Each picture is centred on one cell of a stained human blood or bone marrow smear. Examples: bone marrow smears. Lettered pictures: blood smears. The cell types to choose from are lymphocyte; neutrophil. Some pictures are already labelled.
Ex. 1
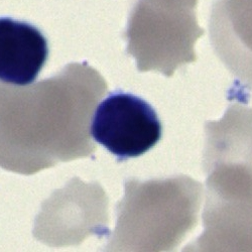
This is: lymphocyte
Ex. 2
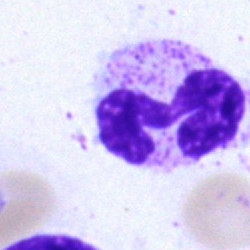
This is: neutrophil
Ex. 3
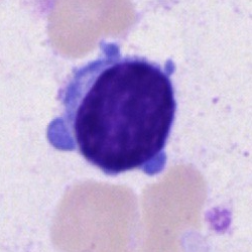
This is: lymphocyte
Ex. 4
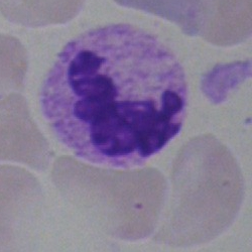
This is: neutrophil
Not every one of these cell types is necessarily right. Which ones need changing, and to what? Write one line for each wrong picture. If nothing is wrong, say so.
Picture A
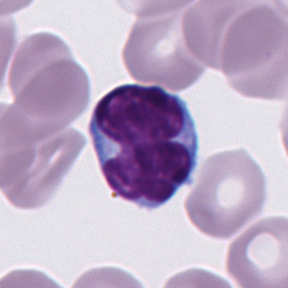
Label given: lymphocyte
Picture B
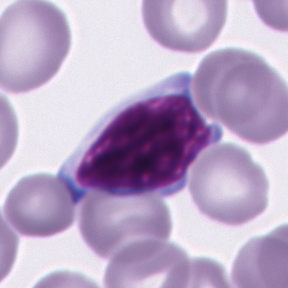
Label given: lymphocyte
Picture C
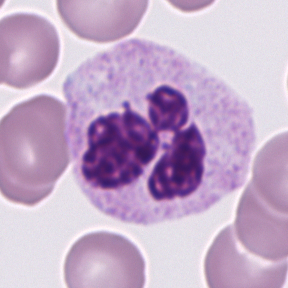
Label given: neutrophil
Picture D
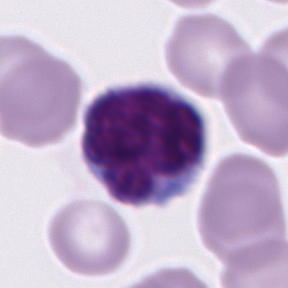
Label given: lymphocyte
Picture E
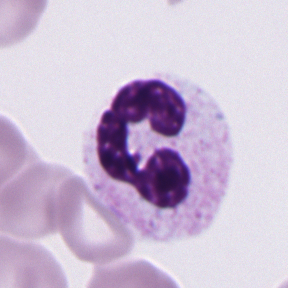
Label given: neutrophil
Nothing to fix; every label fits.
